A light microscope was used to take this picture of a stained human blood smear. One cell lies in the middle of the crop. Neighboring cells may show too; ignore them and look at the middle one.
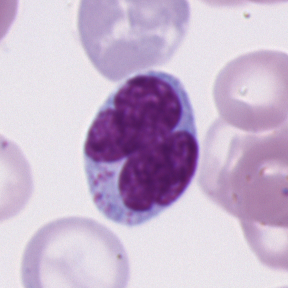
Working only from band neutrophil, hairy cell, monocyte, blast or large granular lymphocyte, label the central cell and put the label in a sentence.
Seen at the centre of the crop is a large granular lymphocyte.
